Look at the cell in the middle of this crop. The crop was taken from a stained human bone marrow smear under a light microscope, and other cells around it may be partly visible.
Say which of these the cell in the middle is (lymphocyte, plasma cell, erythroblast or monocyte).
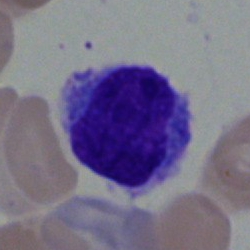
monocyte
